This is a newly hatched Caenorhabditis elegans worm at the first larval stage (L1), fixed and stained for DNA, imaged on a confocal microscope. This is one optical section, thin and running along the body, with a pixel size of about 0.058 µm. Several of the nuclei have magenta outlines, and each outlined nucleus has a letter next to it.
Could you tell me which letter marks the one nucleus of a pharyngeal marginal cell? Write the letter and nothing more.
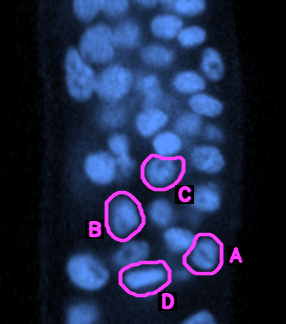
B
